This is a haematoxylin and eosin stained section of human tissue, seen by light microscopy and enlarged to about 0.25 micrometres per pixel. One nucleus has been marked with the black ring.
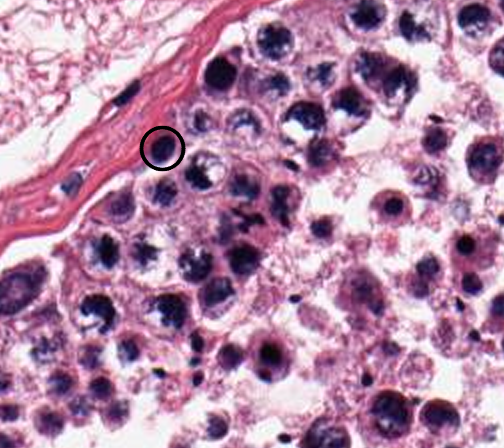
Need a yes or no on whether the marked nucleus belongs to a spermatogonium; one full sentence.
Yes, the marked nucleus is recognised as belonging to a spermatogonium.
